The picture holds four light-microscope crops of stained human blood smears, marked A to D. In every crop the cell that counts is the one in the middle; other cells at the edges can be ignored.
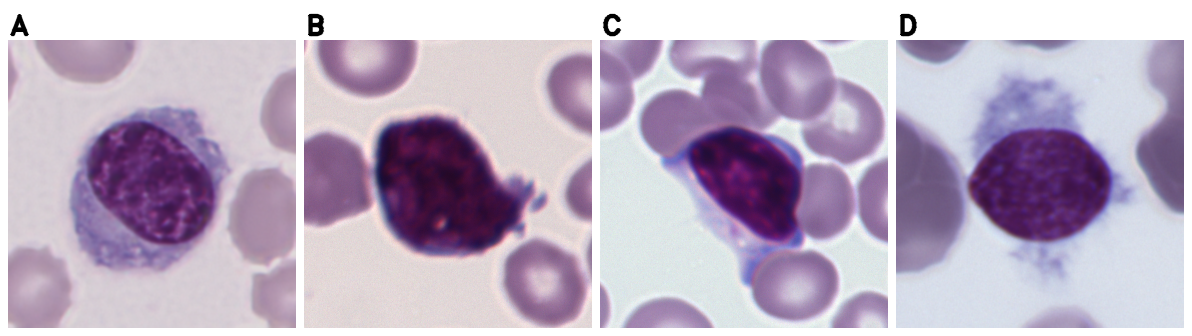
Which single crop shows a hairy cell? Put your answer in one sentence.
The cell identified as a hairy cell is the one in crop D.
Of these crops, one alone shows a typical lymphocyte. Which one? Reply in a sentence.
The sole crop showing a typical lymphocyte is crop C.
